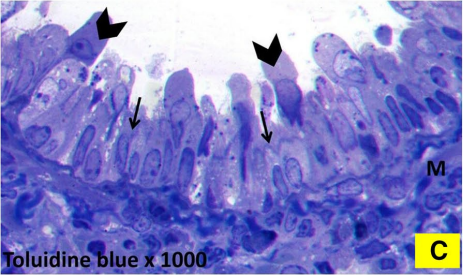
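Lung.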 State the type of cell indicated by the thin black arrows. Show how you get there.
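The marked cells are tall columnar epithelial cells with elongated oval nuclei. Their apical surfaces face the lumen between the dome-shaped cells. So: ciliated cells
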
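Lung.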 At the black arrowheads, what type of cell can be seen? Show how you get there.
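The marked cells bulge with dome-shaped apices beyond the surface of the epithelium into the lumen. Their apical cytoplasm stains more darkly than that of neighbouring cells. The marked cells lack a ciliated border. On this evidence: Clara cells.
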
